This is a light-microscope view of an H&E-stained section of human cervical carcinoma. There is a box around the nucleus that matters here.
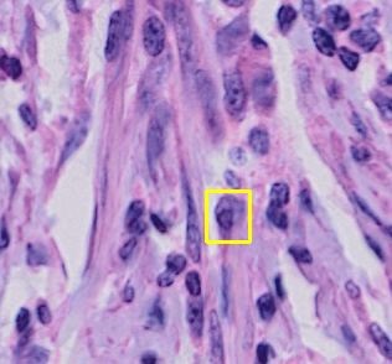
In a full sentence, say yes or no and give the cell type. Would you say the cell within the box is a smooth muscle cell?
No, that's not it; the cell within the box is a macrophage or monocyte rather than a smooth muscle cell.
